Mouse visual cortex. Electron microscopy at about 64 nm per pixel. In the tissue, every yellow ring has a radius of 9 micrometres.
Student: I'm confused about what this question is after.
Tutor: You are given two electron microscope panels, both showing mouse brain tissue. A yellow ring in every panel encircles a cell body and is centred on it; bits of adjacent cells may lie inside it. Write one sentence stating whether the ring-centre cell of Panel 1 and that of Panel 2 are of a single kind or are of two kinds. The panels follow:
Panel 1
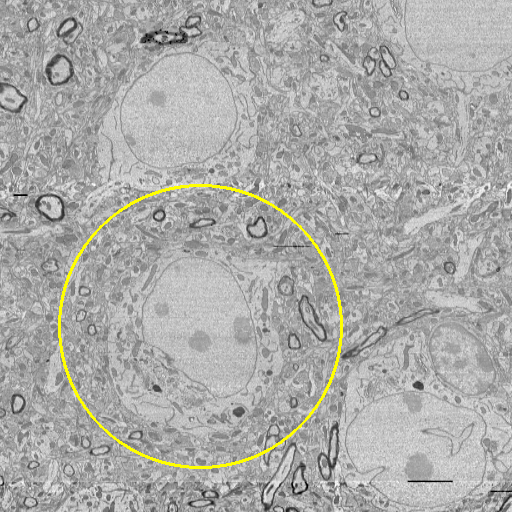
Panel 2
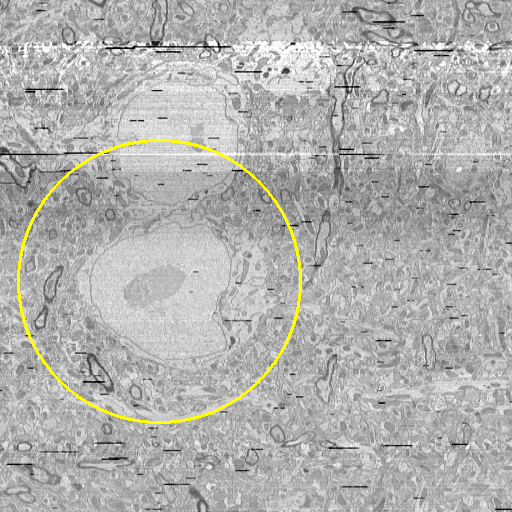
Here, the Panel 1 ring-centre cell and the Panel 2 ring-centre cell are of a single kind.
